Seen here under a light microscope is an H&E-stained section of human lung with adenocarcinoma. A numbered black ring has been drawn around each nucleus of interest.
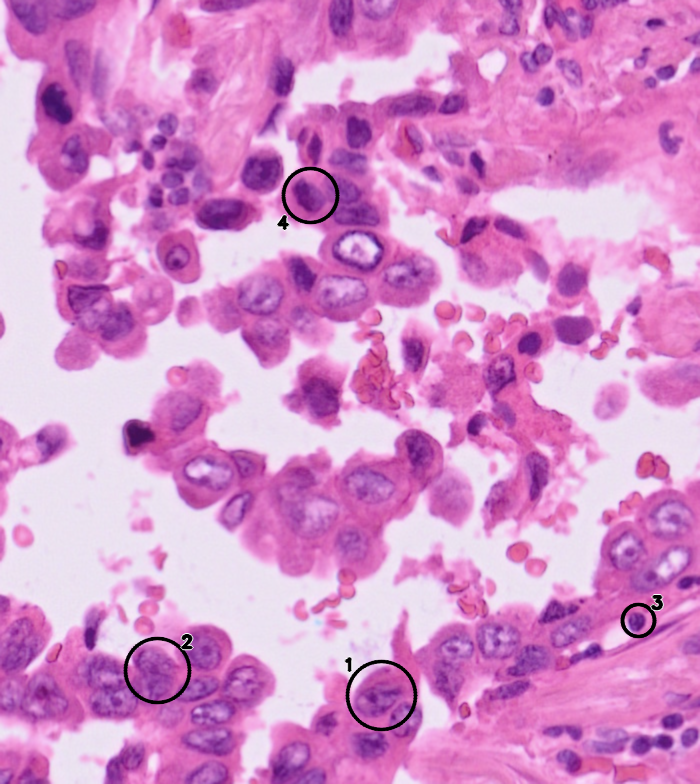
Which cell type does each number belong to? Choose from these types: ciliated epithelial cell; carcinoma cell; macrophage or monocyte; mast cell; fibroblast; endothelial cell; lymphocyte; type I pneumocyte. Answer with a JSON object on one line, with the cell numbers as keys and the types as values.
{"1": "carcinoma cell", "2": "carcinoma cell", "3": "lymphocyte", "4": "carcinoma cell"}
